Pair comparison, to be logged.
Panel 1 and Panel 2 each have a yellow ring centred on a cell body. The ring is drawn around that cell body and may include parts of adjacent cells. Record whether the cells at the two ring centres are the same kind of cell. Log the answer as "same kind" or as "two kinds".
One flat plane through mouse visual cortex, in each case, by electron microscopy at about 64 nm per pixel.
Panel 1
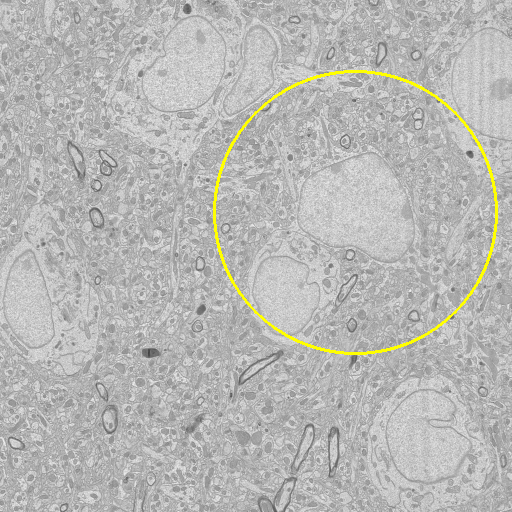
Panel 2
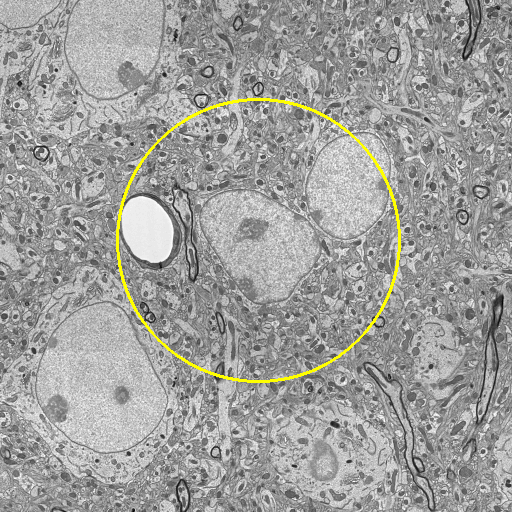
same kind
